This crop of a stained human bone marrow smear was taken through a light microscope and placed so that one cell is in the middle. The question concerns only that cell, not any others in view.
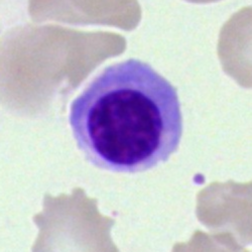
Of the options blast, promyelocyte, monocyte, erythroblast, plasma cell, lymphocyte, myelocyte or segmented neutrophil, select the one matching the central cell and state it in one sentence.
The cell at the central position in this crop is an erythroblast.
